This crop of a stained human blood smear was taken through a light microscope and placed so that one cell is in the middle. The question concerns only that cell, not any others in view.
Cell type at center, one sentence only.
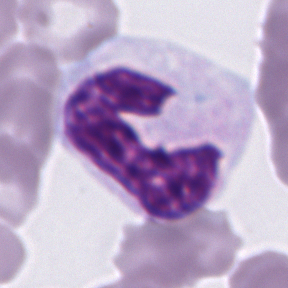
In this crop, the cell at the very middle is a band neutrophil.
